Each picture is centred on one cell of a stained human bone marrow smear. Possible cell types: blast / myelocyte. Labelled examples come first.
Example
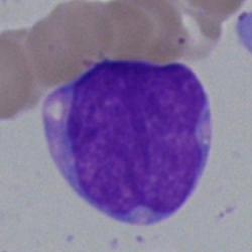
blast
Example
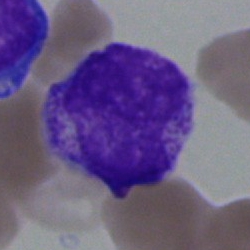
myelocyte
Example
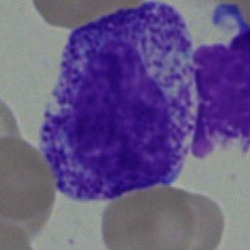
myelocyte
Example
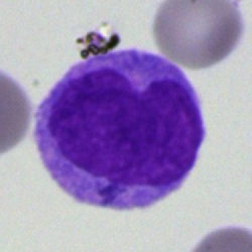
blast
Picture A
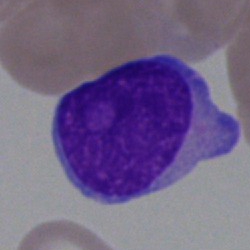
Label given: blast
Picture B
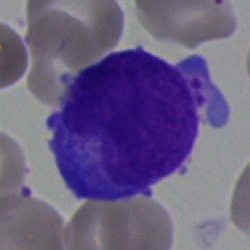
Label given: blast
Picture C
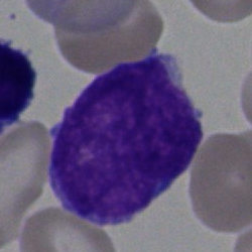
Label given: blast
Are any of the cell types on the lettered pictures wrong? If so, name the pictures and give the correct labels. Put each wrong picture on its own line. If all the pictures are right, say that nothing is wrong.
All labels are correct.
